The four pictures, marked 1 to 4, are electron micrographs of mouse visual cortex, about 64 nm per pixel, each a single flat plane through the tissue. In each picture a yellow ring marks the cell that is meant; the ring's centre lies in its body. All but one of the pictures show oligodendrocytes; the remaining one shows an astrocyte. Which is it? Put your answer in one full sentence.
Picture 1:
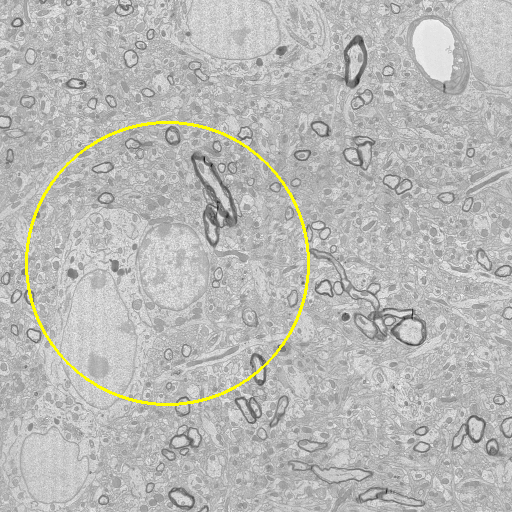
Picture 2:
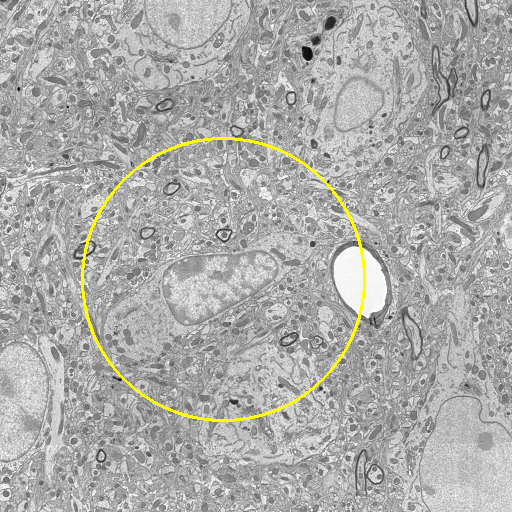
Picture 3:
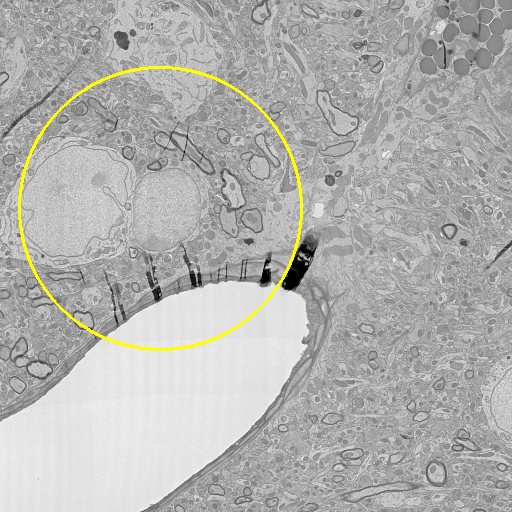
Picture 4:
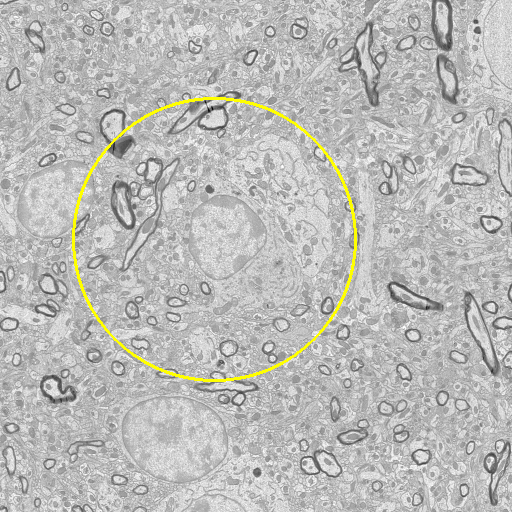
Picture 3 shows the astrocyte.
